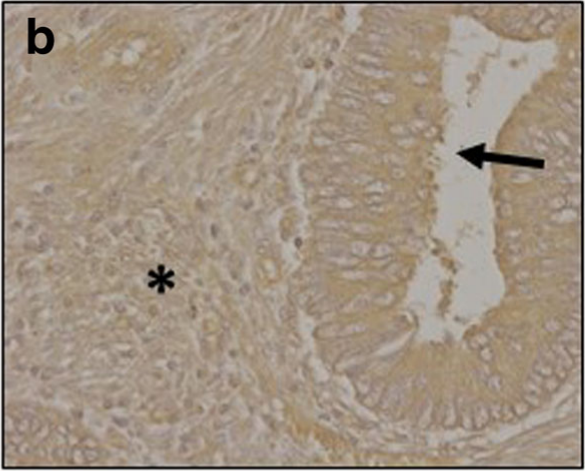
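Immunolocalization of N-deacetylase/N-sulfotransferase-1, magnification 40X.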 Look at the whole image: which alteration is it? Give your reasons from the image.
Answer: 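Tumor. A gland is lined by tall, crowded columnar cells with elongated, stratified nuclei. The stroma beside the gland is dense and cellular.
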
